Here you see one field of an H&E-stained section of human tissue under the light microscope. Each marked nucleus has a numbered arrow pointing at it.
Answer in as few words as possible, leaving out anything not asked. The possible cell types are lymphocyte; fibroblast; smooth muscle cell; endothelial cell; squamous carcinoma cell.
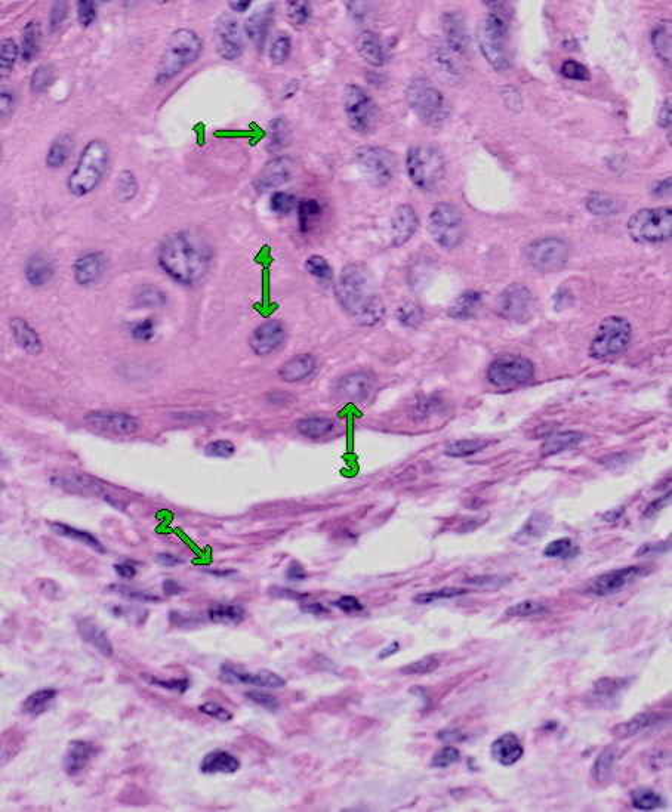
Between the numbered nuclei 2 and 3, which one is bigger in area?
3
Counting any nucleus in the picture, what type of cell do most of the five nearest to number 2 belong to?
fibroblast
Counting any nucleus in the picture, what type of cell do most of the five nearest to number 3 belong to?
squamous carcinoma cell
